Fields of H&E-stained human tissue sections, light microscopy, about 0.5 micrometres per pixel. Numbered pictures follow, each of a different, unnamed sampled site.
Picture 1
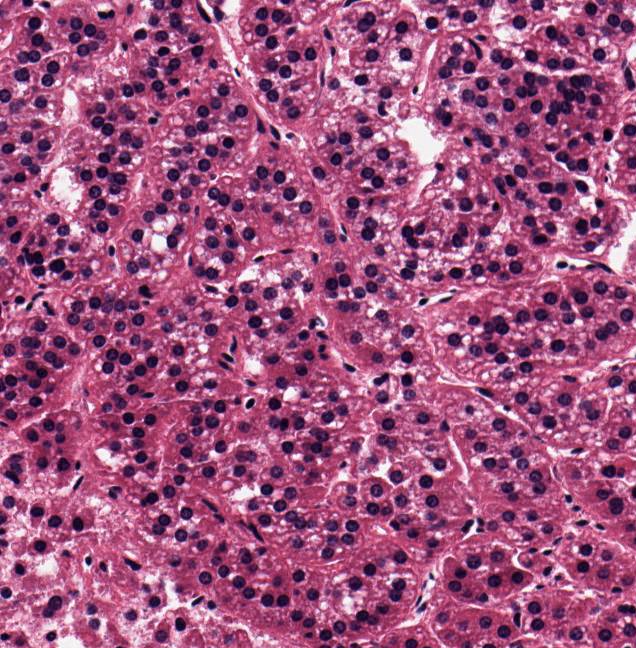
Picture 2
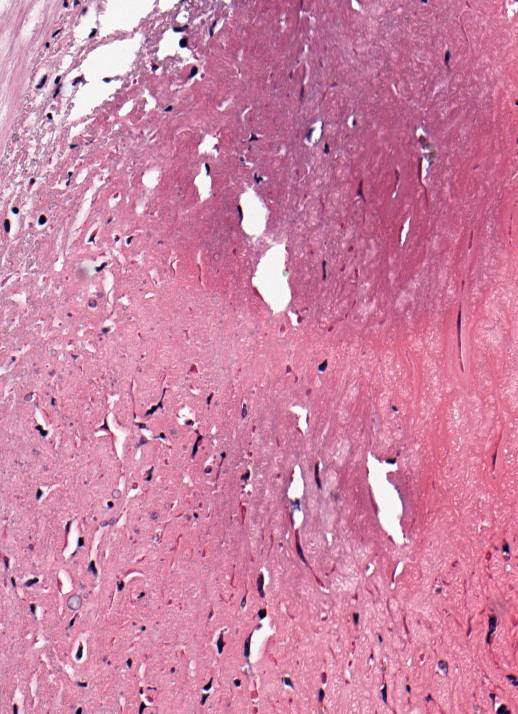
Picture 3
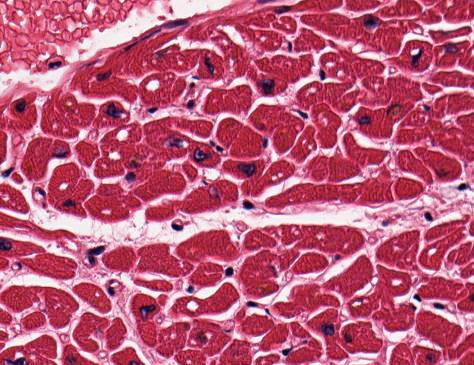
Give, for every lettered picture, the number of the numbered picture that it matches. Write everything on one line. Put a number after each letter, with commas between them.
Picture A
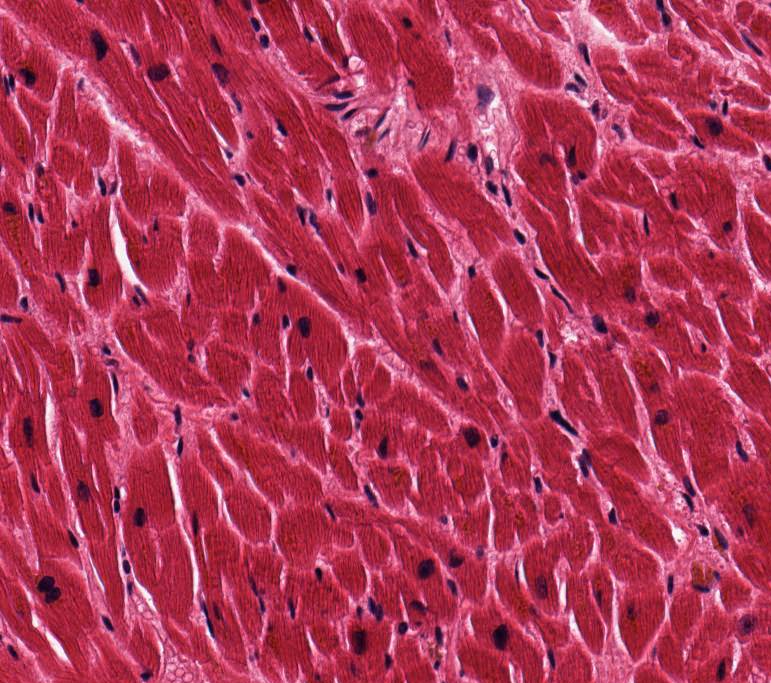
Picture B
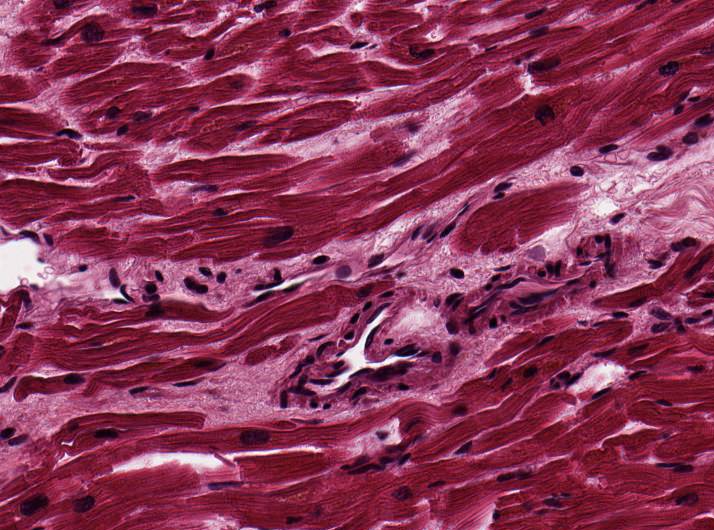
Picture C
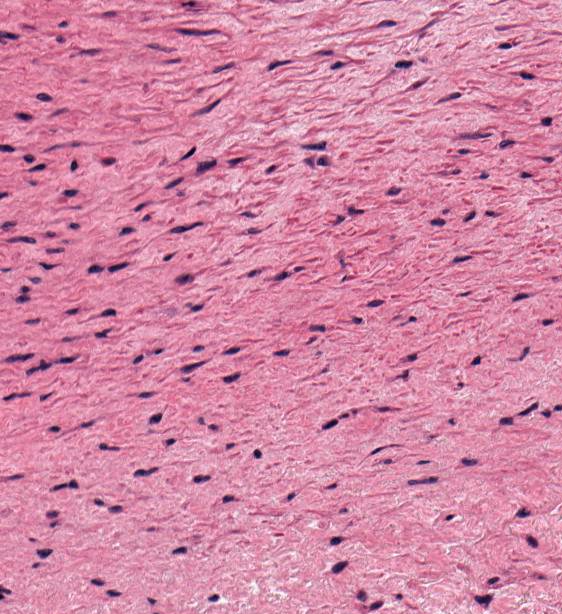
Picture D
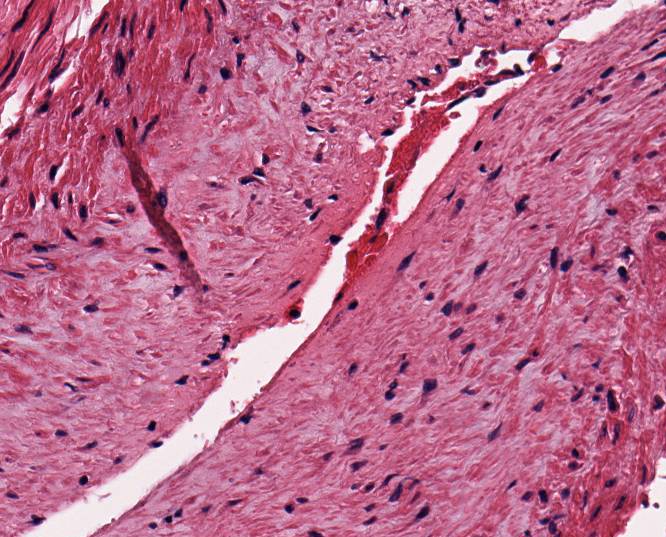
A 3, B 3, C 2, D 2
